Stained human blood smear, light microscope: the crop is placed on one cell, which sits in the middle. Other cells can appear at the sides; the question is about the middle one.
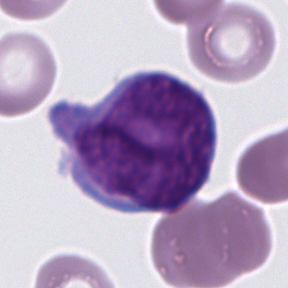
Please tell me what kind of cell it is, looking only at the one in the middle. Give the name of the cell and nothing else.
atypical promyelocyte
